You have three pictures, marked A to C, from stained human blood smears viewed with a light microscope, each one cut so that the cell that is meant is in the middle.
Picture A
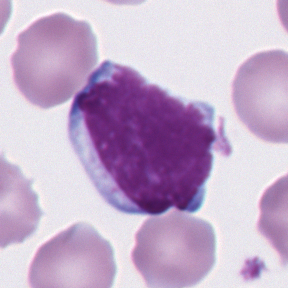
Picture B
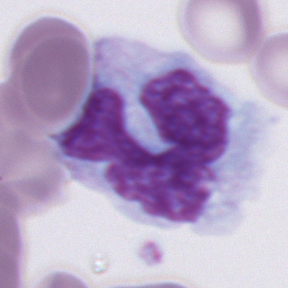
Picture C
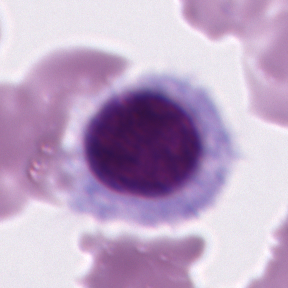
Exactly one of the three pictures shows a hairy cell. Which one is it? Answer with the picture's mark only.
C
